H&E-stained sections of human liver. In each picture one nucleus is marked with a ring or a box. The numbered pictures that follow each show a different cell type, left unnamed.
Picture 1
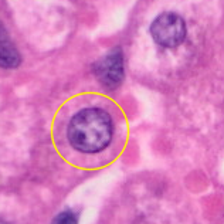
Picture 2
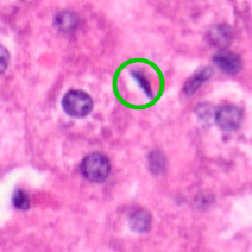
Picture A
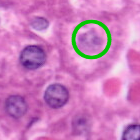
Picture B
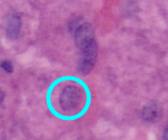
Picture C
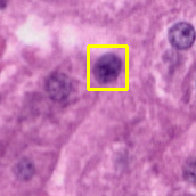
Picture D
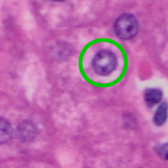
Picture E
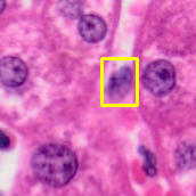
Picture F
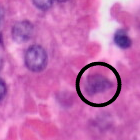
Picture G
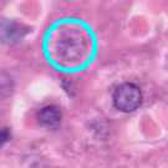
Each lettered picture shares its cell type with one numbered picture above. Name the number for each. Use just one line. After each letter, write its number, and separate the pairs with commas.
A 1, B 1, C 2, D 1, E 2, F 2, G 1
